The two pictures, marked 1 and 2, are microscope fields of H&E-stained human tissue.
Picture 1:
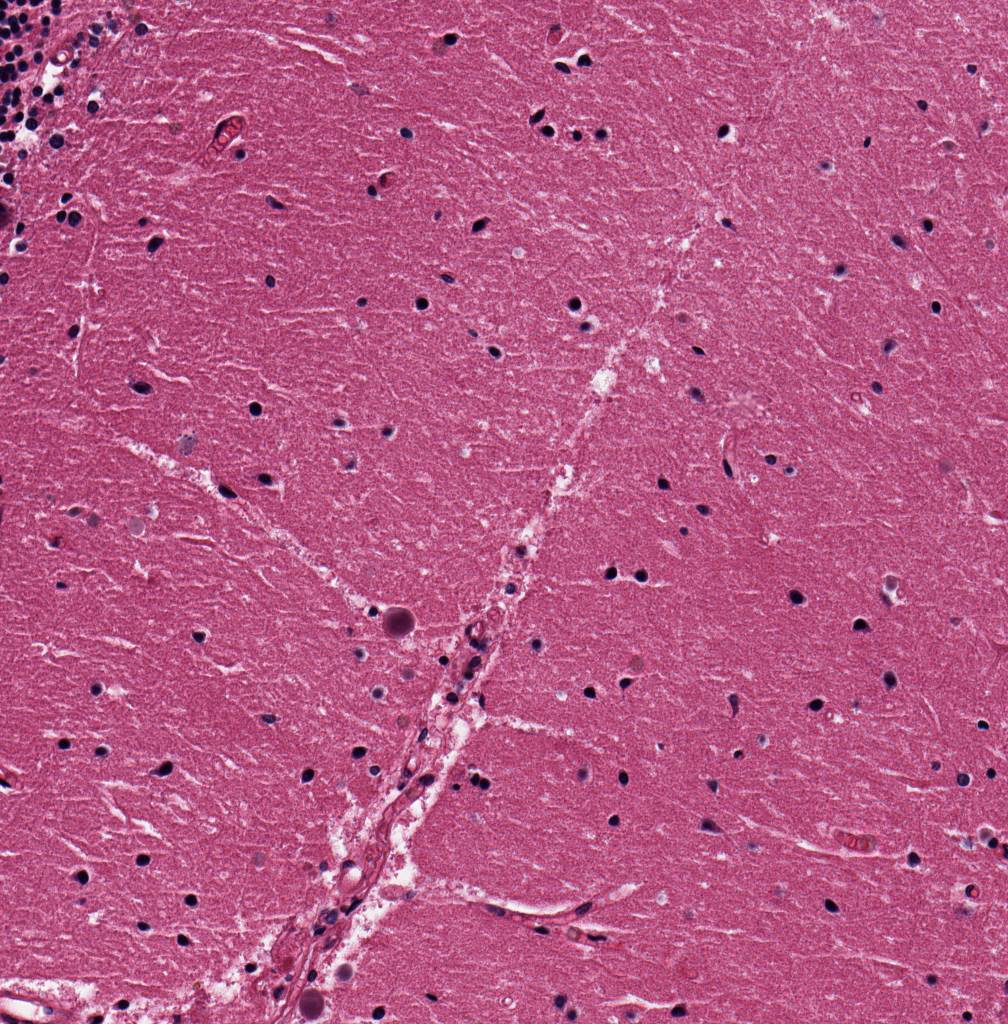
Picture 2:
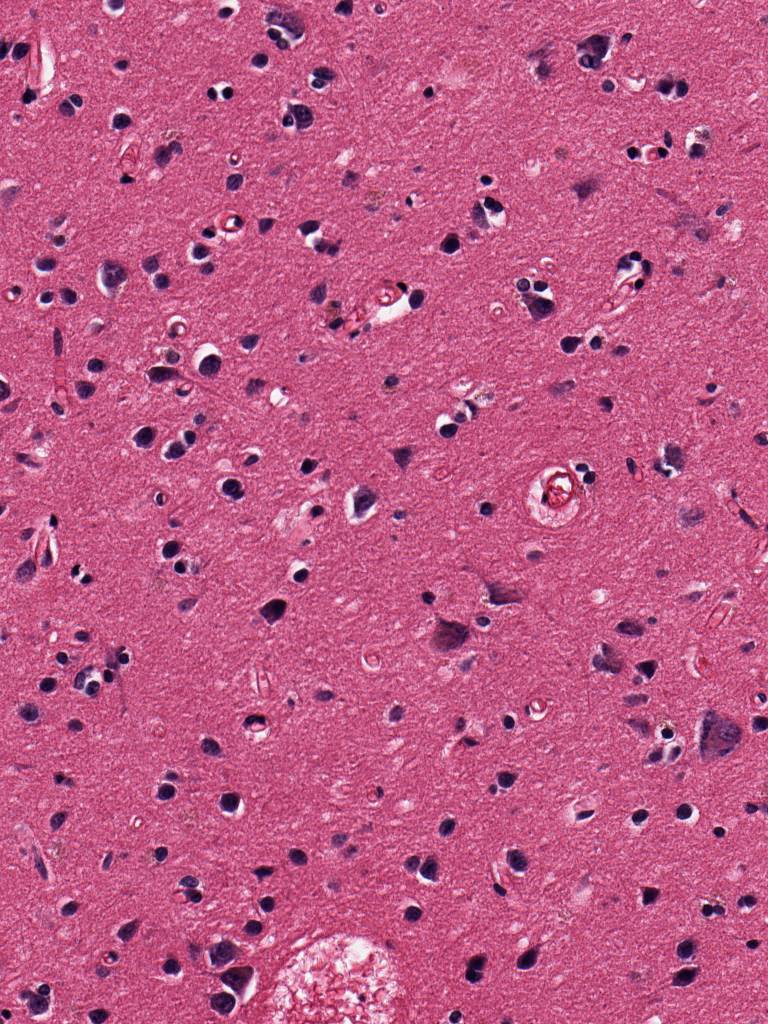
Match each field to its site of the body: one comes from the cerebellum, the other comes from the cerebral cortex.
1: cerebellum
2: cerebral cortex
